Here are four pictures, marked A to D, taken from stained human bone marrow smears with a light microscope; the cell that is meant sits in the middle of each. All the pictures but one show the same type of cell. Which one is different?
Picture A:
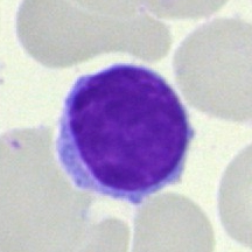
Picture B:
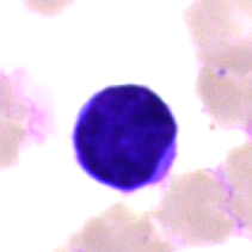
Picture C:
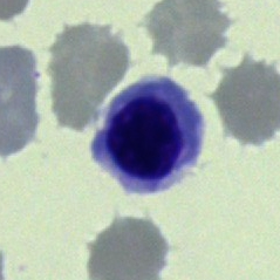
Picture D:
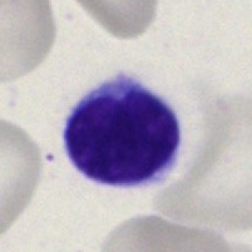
C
